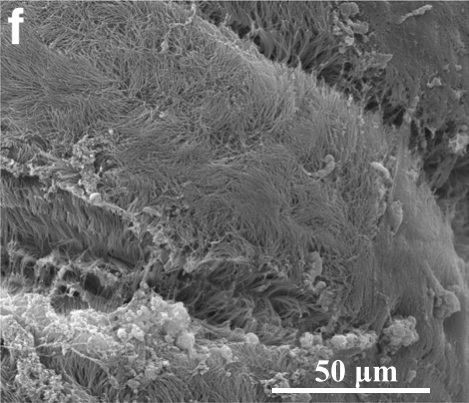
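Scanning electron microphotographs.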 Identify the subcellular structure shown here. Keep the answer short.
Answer: cilia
